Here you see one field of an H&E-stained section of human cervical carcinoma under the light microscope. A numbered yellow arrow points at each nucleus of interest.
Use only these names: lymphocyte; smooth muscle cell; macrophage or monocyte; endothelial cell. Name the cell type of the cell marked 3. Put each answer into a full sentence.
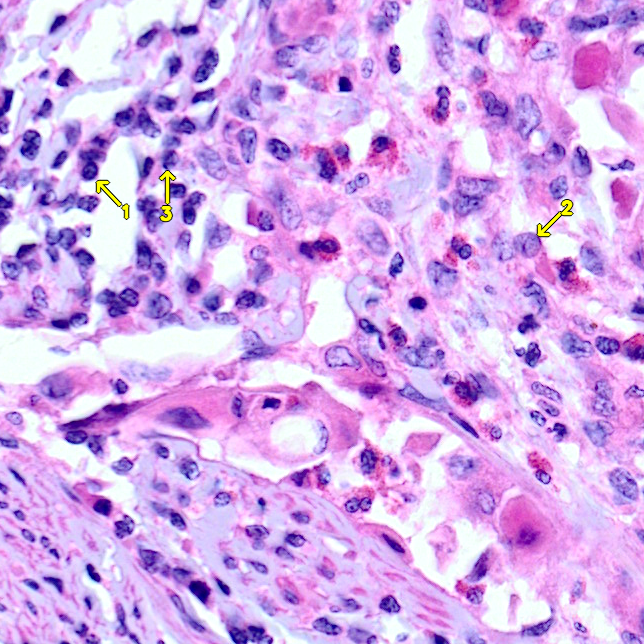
The cell assigned the number 3 is a lymphocyte.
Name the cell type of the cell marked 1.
The cell to which the number 1 is assigned is a lymphocyte.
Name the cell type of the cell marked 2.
Heads up, the cell numbered 2 is a macrophage or monocyte.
